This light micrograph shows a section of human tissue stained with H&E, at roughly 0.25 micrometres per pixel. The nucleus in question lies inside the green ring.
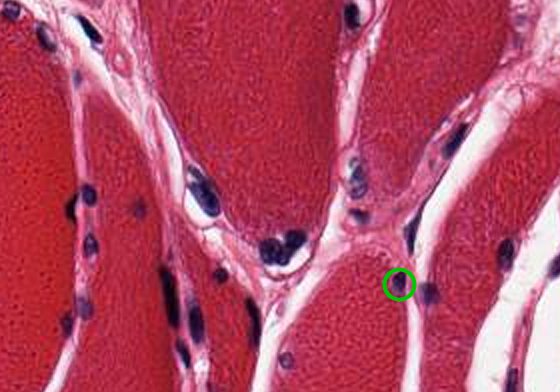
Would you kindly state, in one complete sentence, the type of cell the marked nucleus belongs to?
A nucleus of a skeletal muscle fibre is the one that is marked.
